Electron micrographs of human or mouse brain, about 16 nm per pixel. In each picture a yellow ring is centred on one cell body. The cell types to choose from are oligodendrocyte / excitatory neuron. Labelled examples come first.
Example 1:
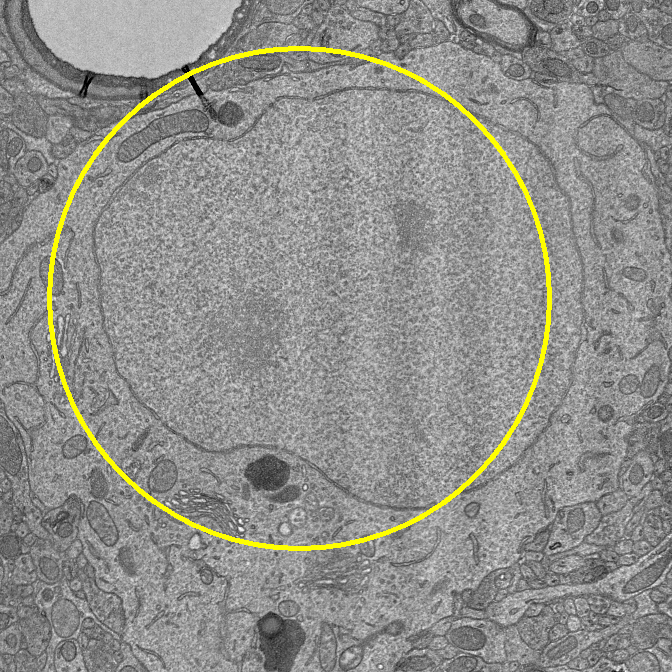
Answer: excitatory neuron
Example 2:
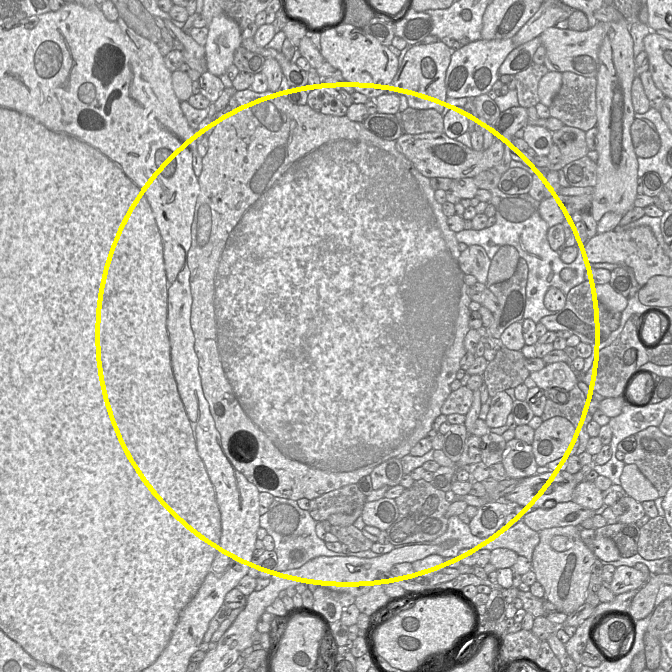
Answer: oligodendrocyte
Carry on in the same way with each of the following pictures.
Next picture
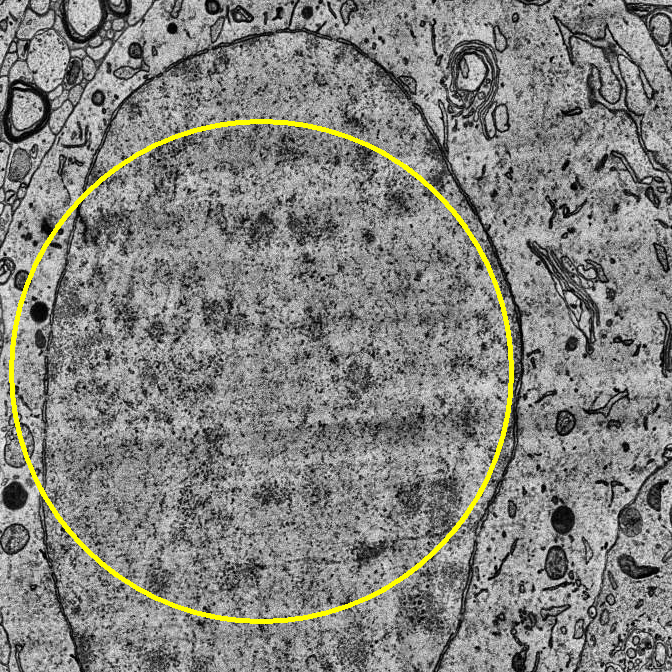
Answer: excitatory neuron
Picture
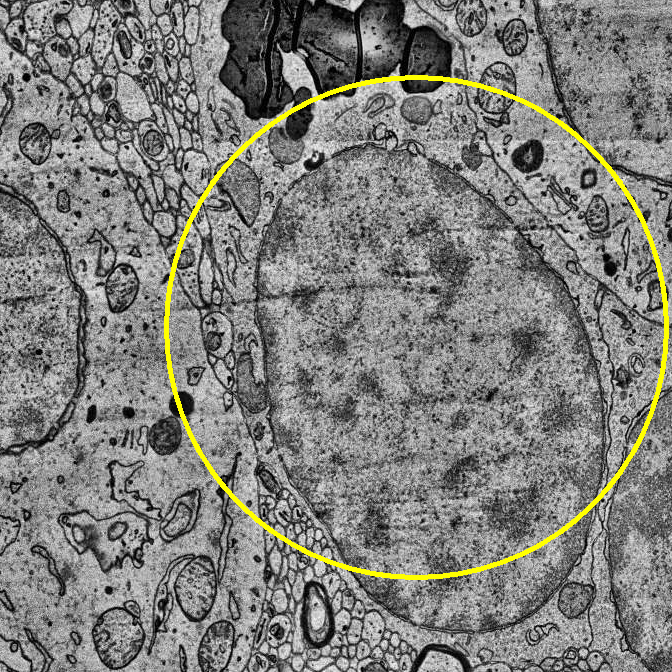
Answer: oligodendrocyte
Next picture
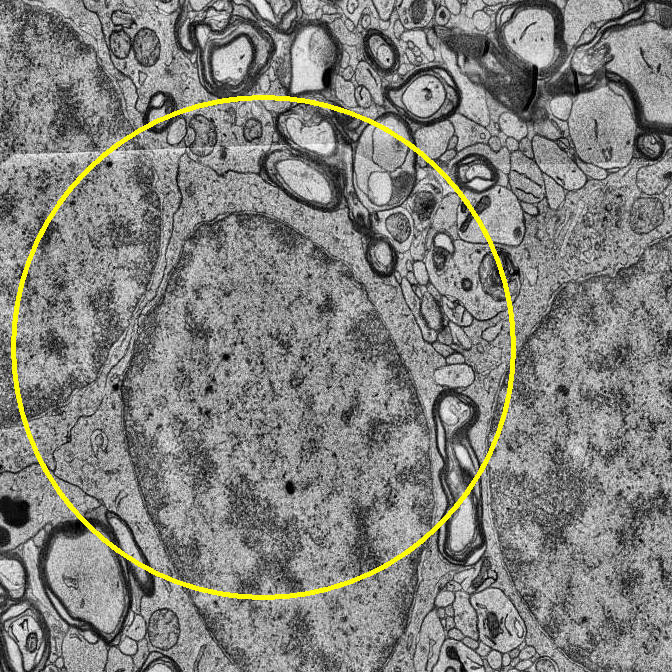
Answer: oligodendrocyte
